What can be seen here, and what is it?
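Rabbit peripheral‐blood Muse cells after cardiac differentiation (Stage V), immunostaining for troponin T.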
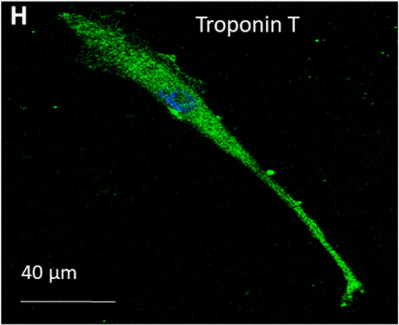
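A single cultured cell is shown, elongated and spindle-shaped, with one oval blue nucleus lying in its broader upper part. Fine granular green signal fills the cytoplasm throughout the cell body. The cell tapers into a long process toward the lower right.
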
